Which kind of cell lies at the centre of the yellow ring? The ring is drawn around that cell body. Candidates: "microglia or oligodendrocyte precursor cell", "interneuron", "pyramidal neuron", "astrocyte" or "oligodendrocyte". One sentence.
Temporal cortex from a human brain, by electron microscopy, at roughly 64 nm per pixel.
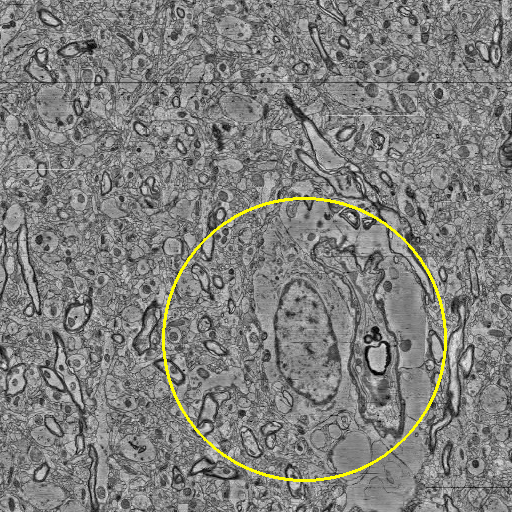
Lying at the centre of the ring is a microglial cell or oligodendrocyte precursor cell.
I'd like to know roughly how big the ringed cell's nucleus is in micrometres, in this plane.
Roughly 8 by 4 micrometers, clearly longer than it is wide in this plane.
